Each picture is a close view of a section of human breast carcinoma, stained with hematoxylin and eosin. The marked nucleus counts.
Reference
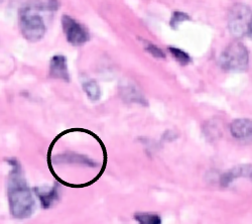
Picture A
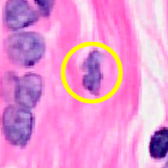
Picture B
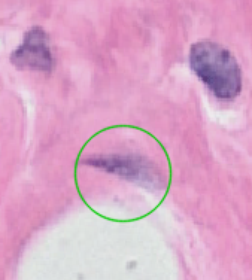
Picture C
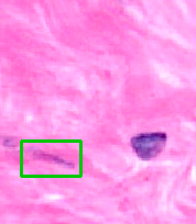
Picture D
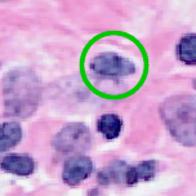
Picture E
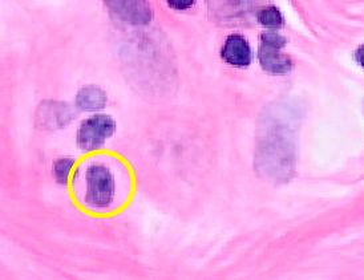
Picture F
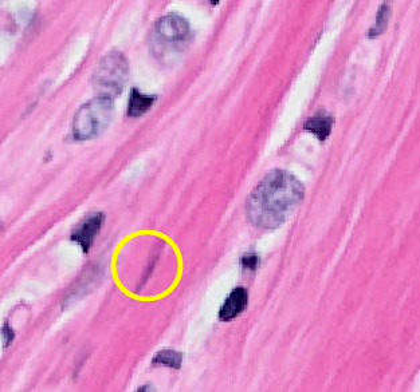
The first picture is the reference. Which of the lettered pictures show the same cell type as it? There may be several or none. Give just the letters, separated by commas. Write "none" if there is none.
B, C, F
